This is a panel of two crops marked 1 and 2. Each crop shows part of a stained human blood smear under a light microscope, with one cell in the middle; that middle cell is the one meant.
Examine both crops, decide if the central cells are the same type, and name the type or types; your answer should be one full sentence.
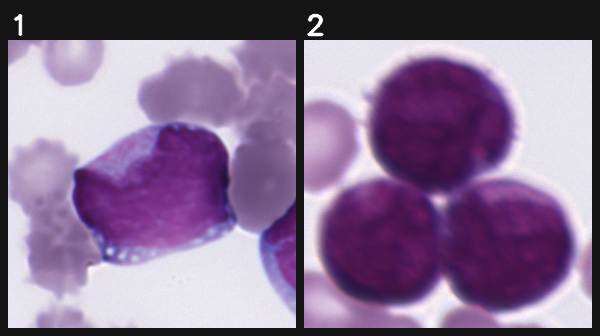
Yes, both crops depict myeloblasts at the centre.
